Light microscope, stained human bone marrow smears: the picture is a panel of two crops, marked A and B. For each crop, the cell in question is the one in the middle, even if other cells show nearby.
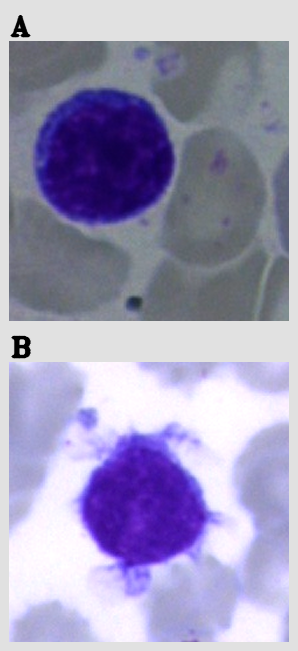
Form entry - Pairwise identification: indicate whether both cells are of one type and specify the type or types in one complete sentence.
Yes, the centre of both crops is taken up by lymphocytes.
